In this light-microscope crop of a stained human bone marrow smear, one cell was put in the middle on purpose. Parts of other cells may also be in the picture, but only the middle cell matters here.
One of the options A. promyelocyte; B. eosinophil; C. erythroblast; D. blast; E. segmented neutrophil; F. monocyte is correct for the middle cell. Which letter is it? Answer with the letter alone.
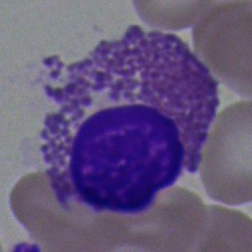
B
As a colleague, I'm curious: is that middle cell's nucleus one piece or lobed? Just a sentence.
Just one compact nuclear mass here, round, oval or kidney-shaped.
